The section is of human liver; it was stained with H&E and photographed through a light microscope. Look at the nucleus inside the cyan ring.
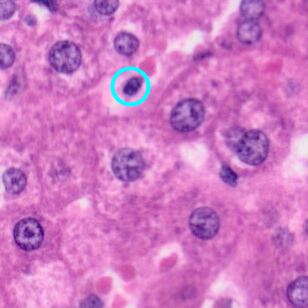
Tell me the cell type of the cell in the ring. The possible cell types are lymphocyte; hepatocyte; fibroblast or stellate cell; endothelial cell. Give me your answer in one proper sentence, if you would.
Assigned to a cell type, the cell in the ring is a lymphocyte.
